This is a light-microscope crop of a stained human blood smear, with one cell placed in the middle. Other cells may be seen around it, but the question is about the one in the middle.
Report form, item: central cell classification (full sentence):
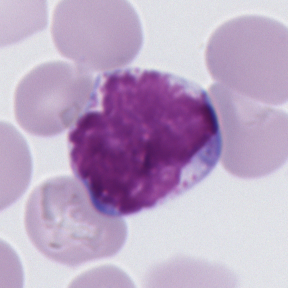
Centrally within this crop lies a large granular lymphocyte.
